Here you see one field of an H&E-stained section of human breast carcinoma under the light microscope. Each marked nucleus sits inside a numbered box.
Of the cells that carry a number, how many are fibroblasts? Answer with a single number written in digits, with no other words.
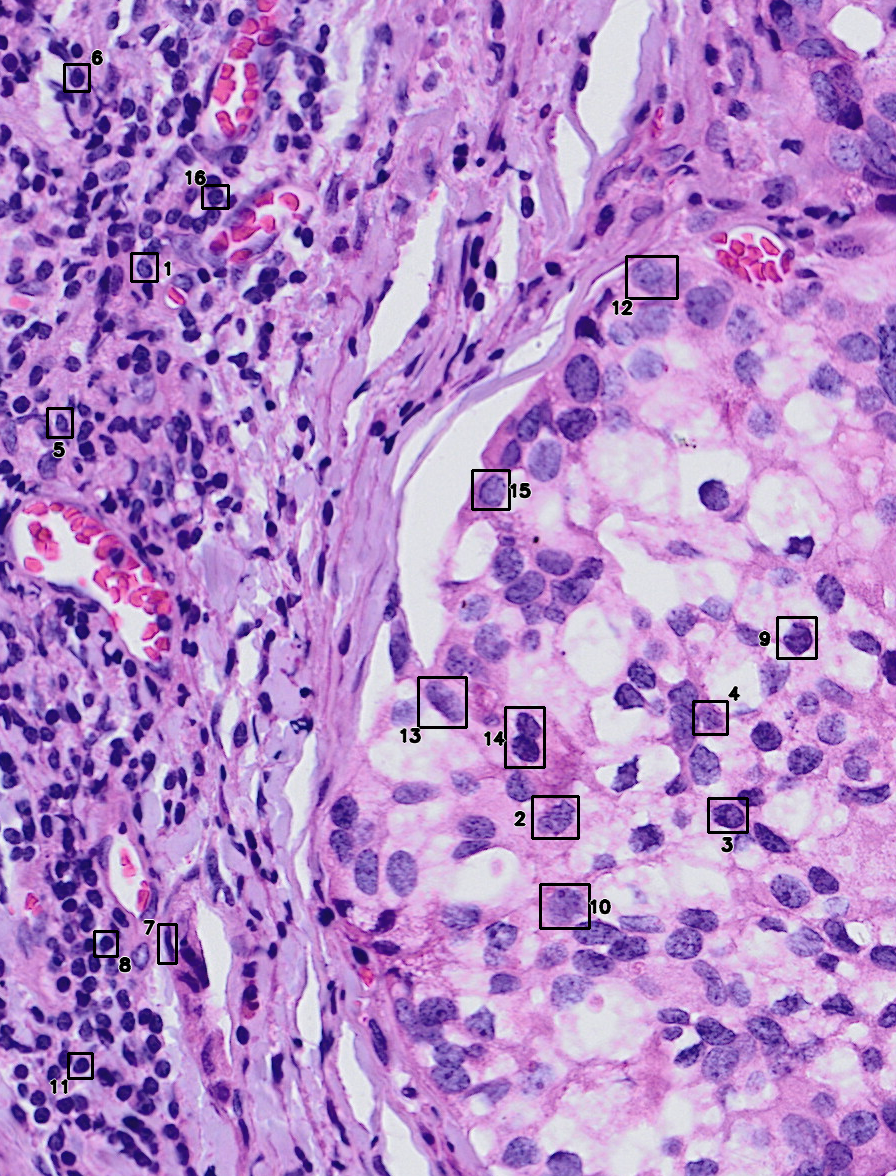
0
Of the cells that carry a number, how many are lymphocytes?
6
